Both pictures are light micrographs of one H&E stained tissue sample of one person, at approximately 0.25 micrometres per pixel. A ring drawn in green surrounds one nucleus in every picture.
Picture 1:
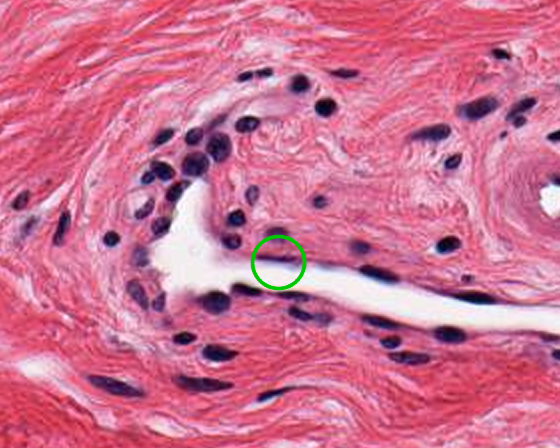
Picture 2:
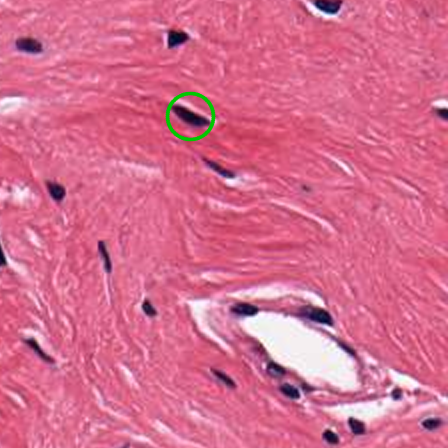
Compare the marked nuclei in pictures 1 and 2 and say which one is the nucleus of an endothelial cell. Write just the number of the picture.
1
